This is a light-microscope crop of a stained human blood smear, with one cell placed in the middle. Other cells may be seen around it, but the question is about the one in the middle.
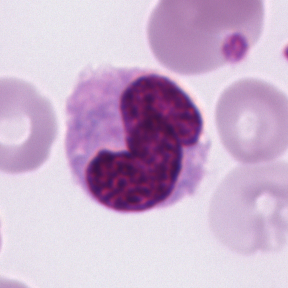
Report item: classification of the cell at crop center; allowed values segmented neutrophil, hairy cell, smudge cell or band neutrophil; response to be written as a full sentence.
Present in the middle of the crop is a band neutrophil.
